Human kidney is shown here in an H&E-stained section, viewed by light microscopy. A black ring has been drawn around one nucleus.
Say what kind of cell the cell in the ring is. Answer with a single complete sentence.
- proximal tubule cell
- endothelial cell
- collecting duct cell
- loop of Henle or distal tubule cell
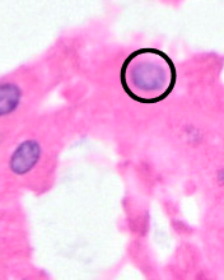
Among the cells in this section, the cell in the ring is a proximal tubule cell.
